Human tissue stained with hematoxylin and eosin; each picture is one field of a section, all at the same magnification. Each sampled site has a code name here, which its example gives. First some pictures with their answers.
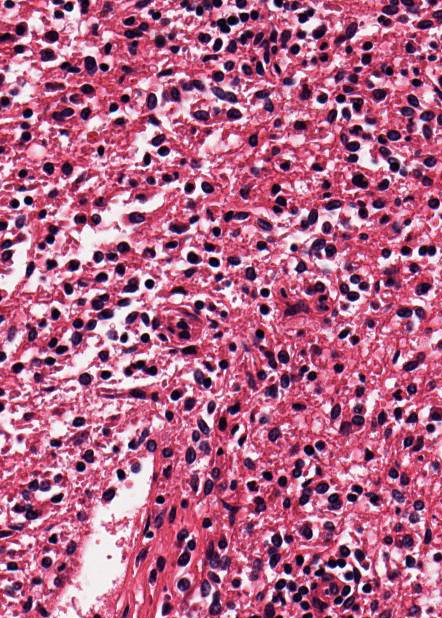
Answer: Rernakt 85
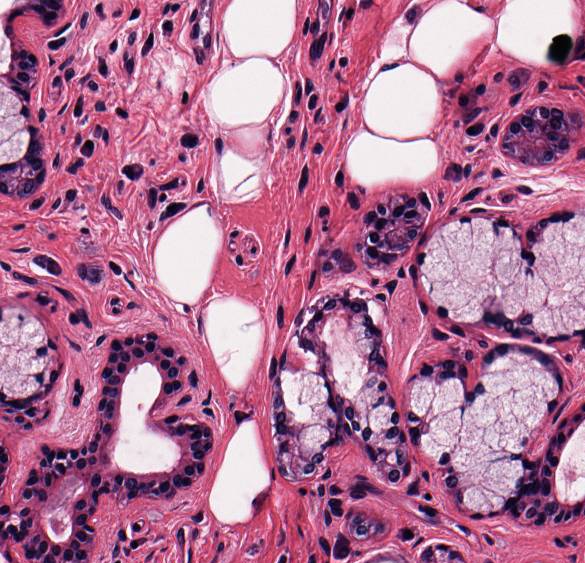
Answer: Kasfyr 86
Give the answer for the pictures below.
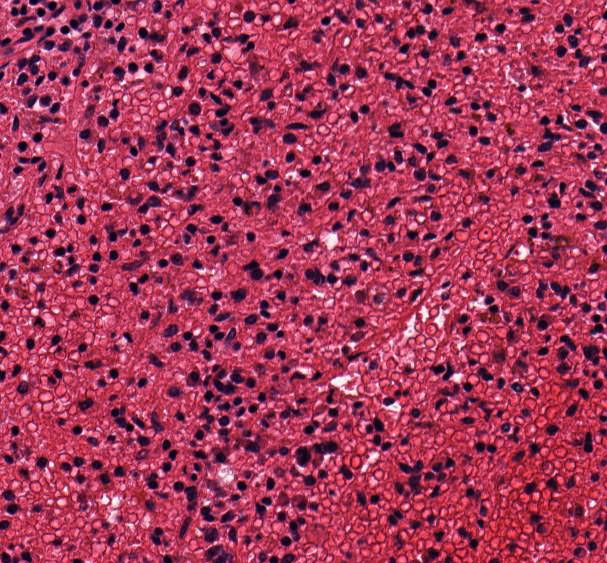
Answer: Rernakt 85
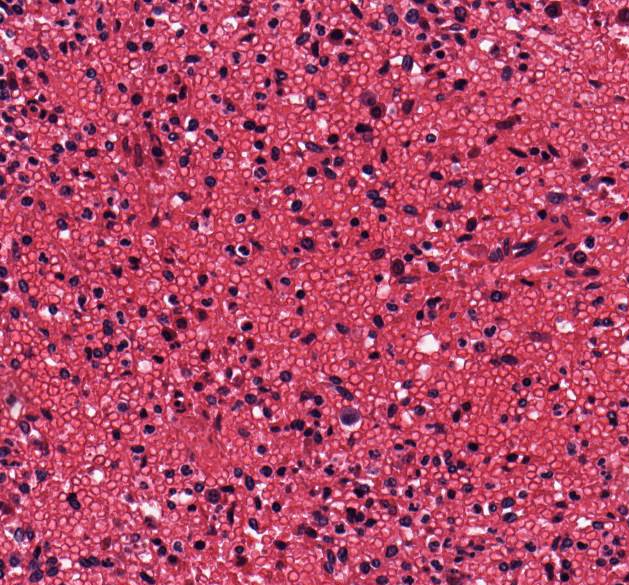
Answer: Rernakt 85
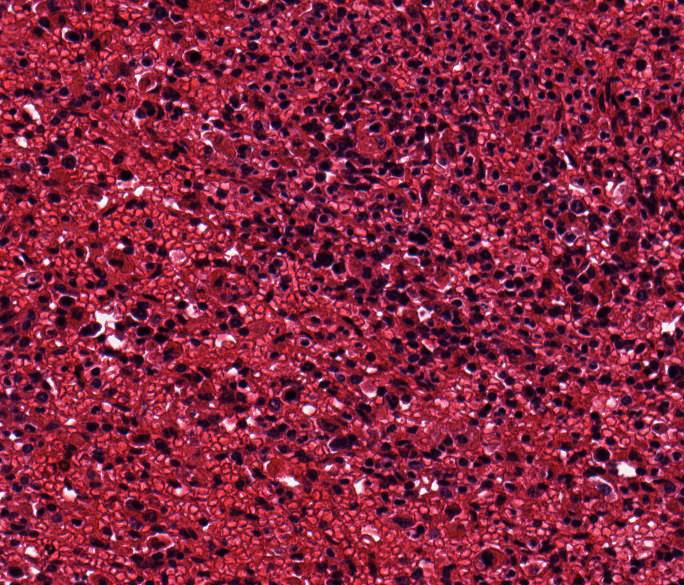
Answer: Rernakt 85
